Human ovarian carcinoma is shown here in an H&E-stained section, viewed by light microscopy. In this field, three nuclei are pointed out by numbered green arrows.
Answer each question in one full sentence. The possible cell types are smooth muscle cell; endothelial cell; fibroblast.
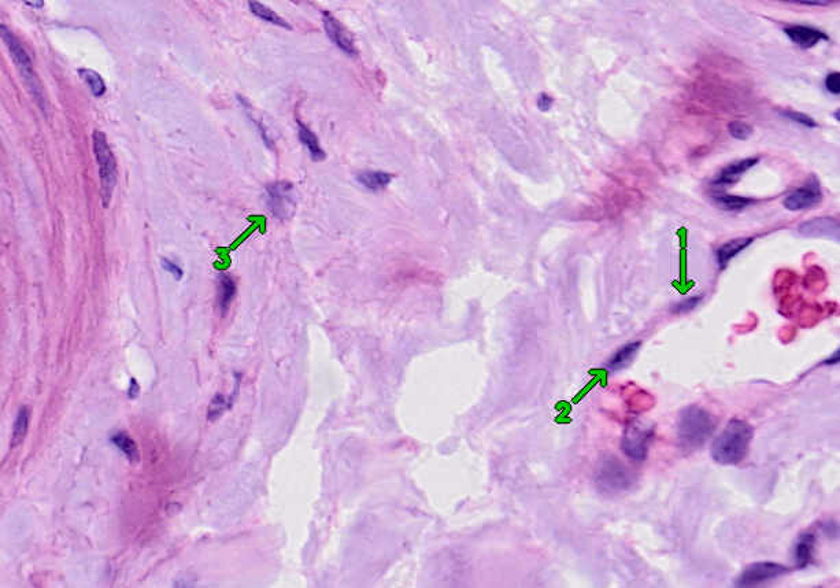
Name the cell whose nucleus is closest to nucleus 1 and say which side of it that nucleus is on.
The closest nucleus belongs to an endothelial cell and sits above and to the right of nucleus 1.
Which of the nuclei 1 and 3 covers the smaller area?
Nucleus 1 covers less area, with nucleus 3 about 2.5 times as large.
